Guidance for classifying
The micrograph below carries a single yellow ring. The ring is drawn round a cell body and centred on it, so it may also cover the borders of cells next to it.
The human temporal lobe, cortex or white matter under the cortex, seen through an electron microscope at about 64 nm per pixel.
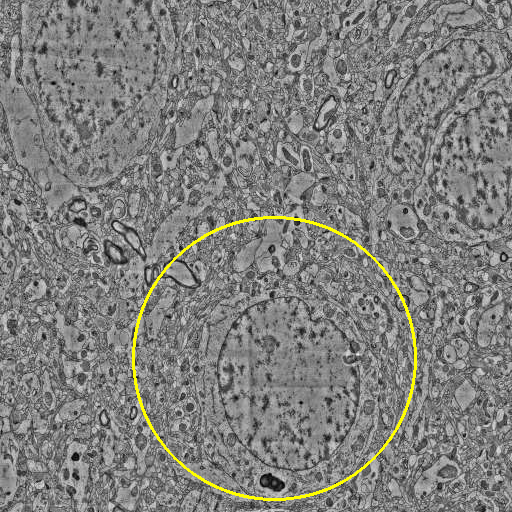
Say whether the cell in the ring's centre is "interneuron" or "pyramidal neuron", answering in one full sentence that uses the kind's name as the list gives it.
Within the yellow ring, a pyramidal neuron is the cell whose body sits at the centre.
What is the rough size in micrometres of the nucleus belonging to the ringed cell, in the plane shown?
In this plane, approximately 11 by 9 micrometers.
